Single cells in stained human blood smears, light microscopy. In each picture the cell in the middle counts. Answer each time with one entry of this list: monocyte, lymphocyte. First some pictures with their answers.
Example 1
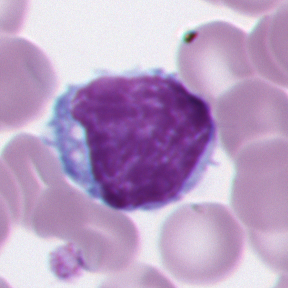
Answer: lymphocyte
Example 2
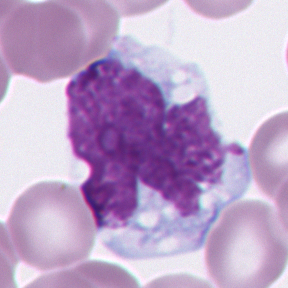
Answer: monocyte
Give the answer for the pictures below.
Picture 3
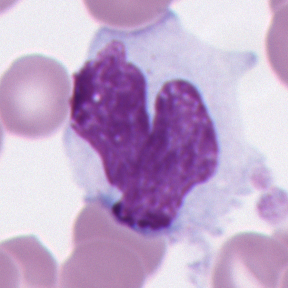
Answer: monocyte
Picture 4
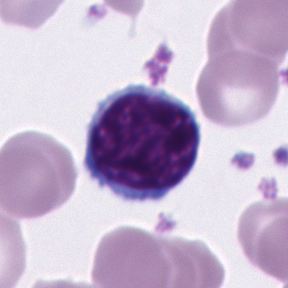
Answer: lymphocyte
